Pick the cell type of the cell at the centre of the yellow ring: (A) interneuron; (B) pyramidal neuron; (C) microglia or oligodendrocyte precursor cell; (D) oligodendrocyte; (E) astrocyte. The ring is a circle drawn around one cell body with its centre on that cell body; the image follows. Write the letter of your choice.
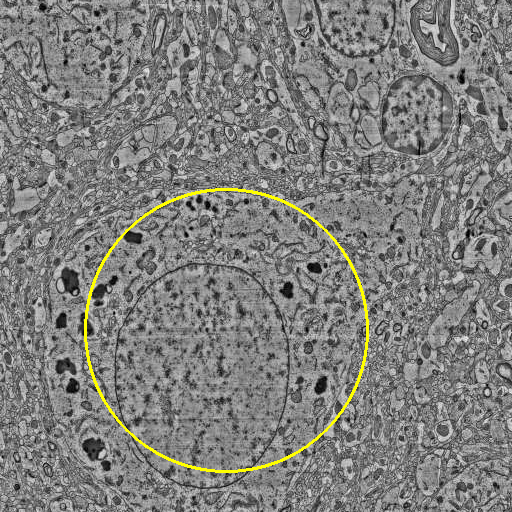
B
